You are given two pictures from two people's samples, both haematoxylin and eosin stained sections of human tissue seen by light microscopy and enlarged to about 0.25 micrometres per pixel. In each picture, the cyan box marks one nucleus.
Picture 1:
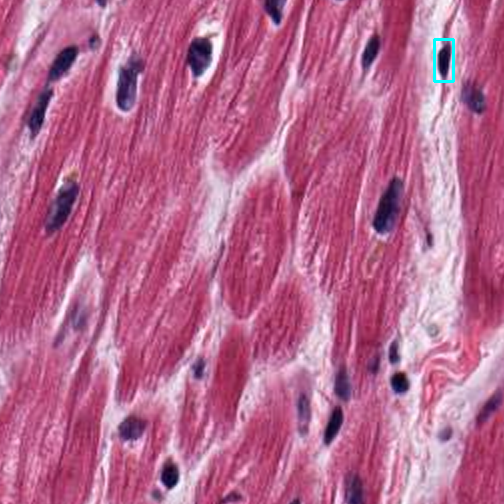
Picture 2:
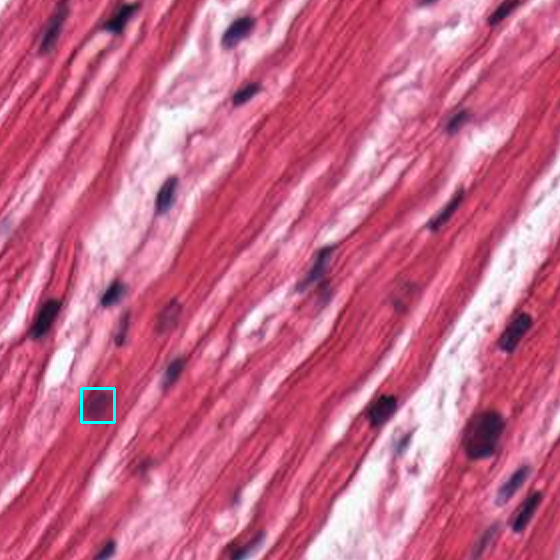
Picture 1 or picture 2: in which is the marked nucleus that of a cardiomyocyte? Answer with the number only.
2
